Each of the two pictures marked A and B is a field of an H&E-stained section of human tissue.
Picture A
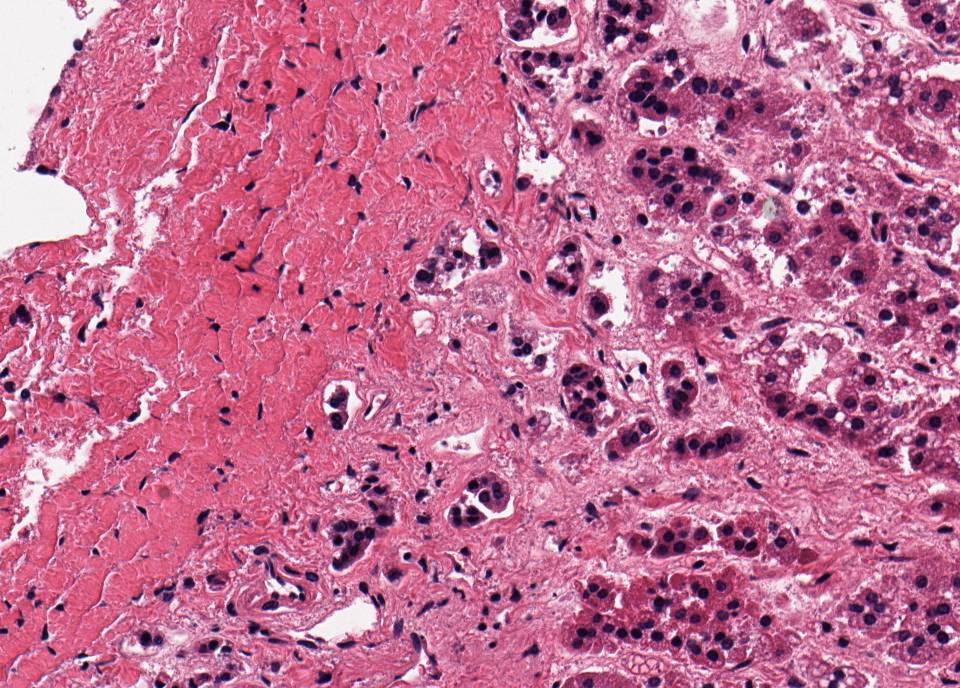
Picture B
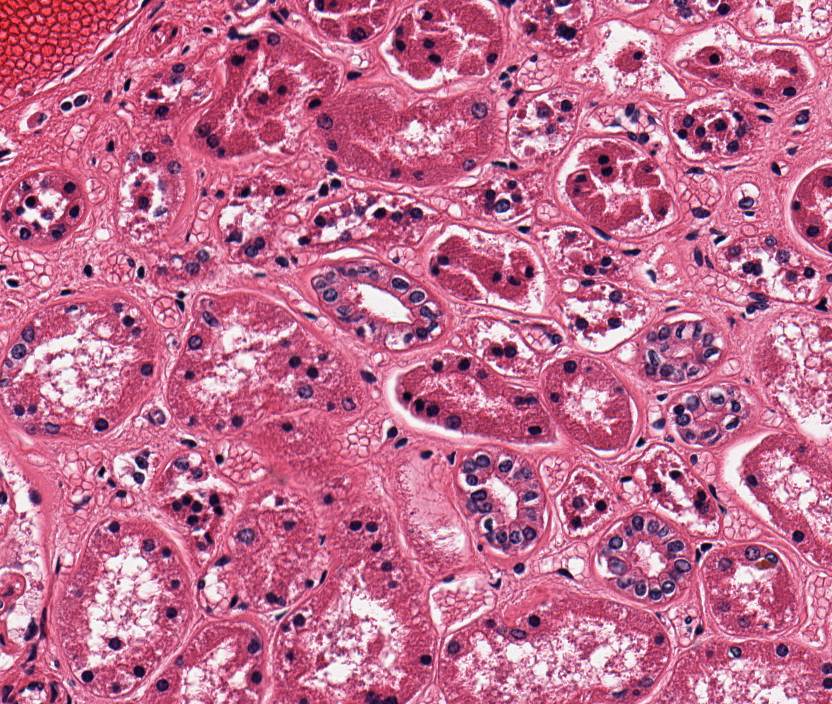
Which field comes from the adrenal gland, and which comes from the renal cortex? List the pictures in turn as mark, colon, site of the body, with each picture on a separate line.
A: adrenal gland
B: renal cortex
